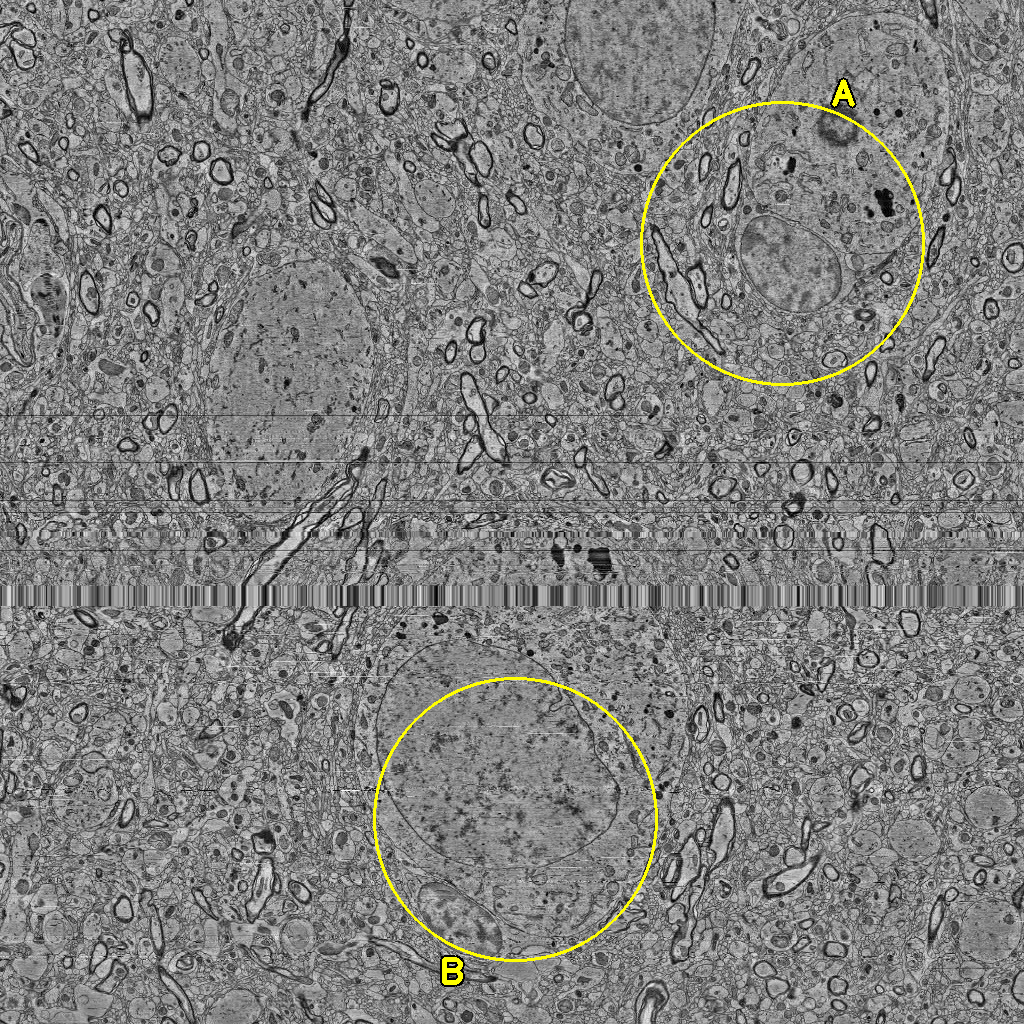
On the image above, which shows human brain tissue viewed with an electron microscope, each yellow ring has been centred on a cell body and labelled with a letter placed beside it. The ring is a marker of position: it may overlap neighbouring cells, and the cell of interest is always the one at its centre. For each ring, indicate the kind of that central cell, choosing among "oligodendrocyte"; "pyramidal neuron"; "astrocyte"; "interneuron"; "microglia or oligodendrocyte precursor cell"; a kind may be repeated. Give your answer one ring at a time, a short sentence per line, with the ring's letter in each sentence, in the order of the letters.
Ring A shows an oligodendrocyte at its centre.
Ring B shows a pyramidal neuron at its centre.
